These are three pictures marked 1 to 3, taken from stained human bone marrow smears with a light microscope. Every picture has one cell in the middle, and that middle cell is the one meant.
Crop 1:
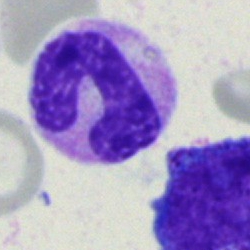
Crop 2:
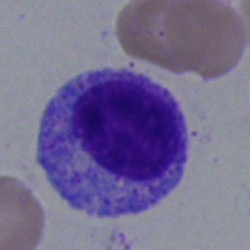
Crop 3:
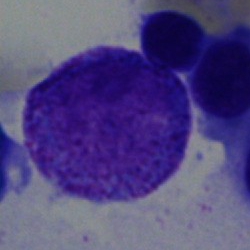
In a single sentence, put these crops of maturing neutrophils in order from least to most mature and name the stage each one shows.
Placed in order from least to most mature, they run crop 3 (a promyelocyte), crop 2 (a myelocyte) and crop 1 (a band neutrophil).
